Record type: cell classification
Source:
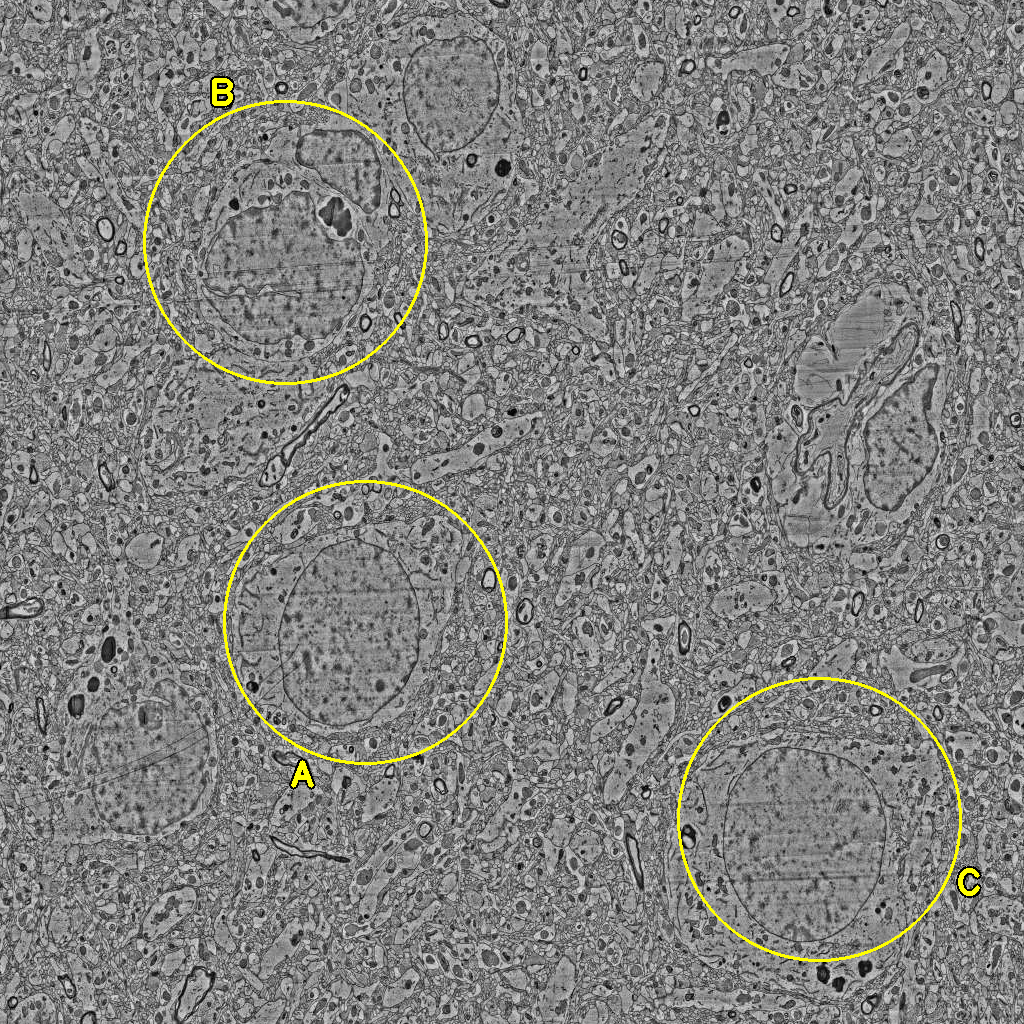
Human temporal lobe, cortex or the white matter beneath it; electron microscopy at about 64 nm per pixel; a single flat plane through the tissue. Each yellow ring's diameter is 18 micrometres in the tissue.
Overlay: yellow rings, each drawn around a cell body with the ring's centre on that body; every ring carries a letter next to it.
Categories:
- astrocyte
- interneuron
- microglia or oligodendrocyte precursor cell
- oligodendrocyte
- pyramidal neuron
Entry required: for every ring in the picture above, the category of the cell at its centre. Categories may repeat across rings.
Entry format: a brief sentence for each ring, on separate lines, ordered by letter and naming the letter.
At the centre of ring A lies a pyramidal neuron.
At the centre of ring B lies an interneuron.
At the centre of ring C lies a pyramidal neuron.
